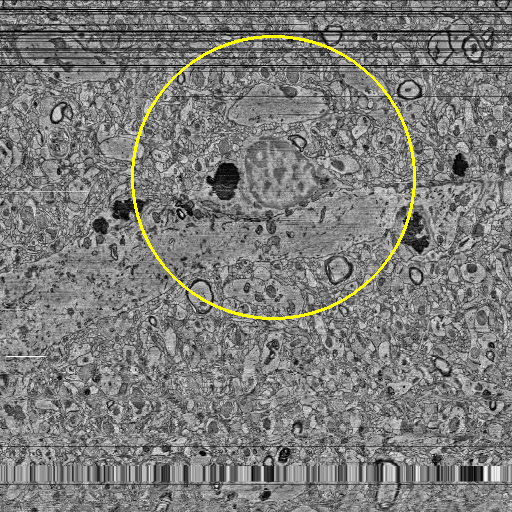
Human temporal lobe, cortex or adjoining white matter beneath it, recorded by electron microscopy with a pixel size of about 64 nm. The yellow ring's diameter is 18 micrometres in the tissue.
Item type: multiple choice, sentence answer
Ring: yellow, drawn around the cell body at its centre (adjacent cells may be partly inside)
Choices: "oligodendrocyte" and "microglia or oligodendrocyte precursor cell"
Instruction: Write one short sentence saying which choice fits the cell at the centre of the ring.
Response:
This ring is drawn around an oligodendrocyte.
